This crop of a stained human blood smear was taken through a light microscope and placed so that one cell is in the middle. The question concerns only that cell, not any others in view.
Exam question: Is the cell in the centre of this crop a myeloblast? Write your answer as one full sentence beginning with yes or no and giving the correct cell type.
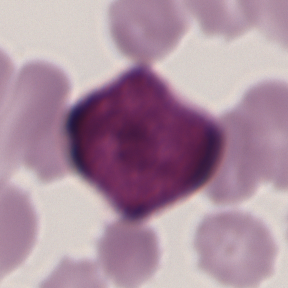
Yes, the crop's central cell is a myeloblast.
